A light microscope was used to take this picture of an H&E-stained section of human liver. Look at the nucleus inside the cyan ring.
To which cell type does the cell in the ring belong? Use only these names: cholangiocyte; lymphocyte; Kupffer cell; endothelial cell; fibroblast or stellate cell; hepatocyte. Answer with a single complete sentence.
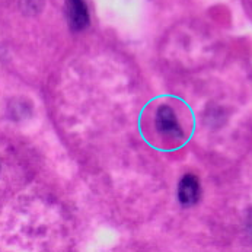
It is as an endothelial cell that the cell in the ring is classified.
